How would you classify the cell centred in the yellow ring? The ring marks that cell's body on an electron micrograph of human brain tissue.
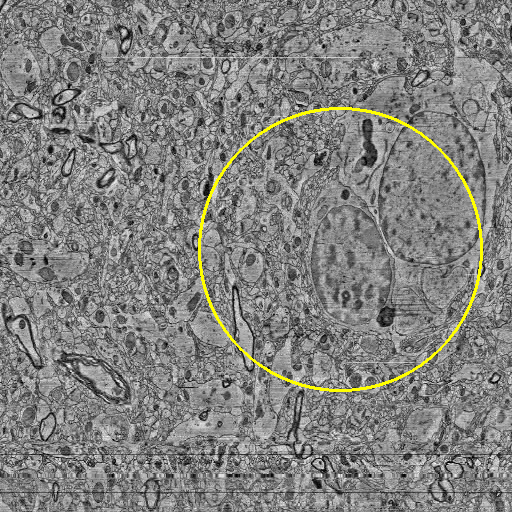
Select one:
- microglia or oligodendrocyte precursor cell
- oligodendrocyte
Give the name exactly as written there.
oligodendrocyte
